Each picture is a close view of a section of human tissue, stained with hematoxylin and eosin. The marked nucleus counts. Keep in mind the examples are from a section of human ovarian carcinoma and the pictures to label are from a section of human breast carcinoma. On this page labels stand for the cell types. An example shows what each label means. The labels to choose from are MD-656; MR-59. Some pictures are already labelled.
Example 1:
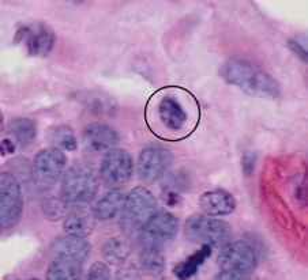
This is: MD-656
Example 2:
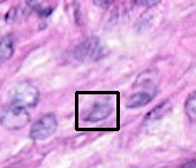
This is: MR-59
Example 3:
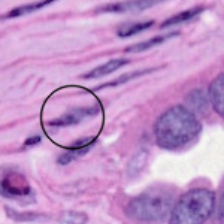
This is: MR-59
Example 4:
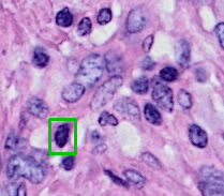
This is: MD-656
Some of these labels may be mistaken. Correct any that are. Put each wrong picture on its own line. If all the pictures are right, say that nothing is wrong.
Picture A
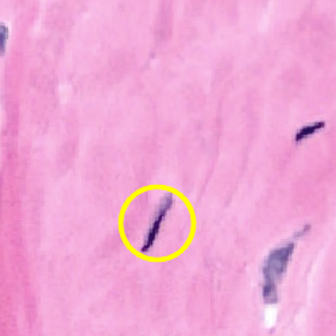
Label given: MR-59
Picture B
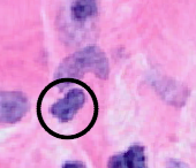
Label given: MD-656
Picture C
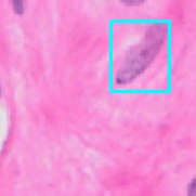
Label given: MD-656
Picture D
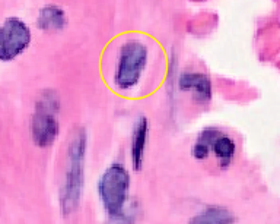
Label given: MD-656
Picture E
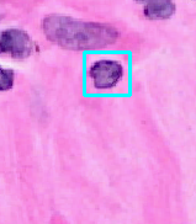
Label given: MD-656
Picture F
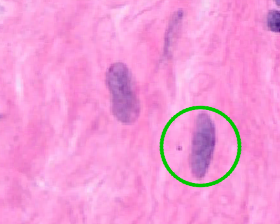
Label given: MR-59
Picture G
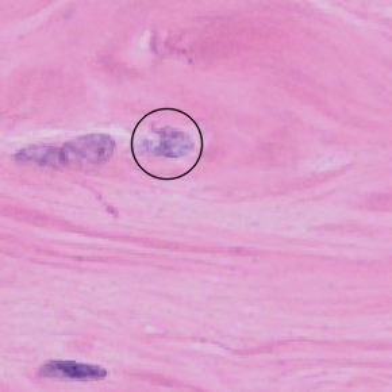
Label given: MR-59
C should be MR-59, not MD-656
